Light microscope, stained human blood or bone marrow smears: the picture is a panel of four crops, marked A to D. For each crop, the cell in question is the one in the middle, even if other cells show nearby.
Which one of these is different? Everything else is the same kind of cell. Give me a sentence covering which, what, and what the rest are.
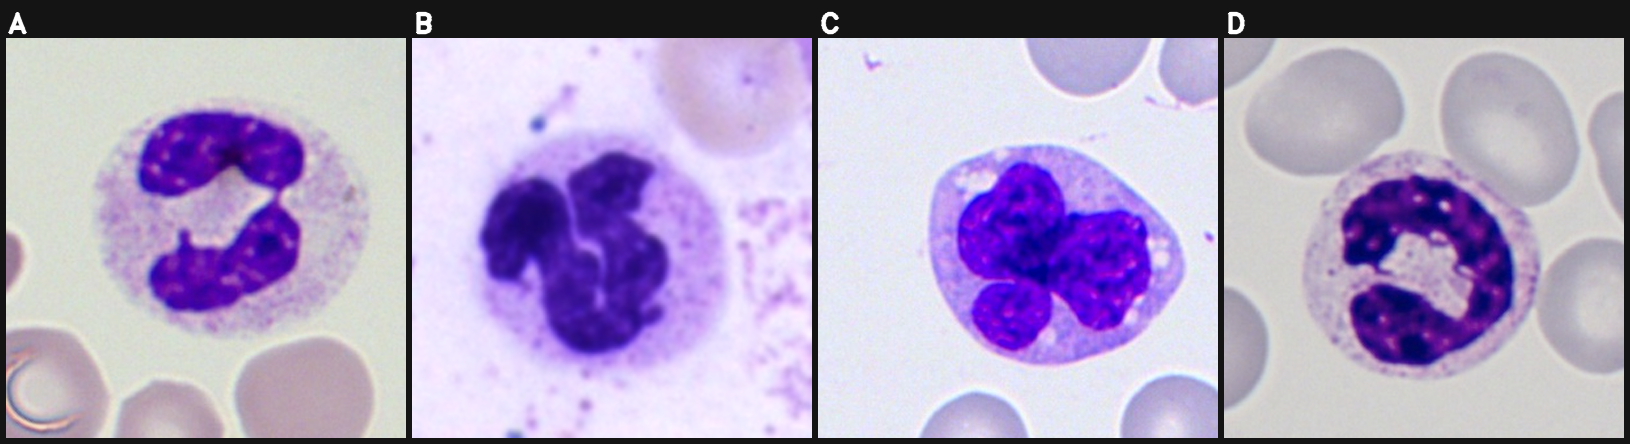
Of the crops, all show segmented neutrophils save crop C, which shows a monocyte.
